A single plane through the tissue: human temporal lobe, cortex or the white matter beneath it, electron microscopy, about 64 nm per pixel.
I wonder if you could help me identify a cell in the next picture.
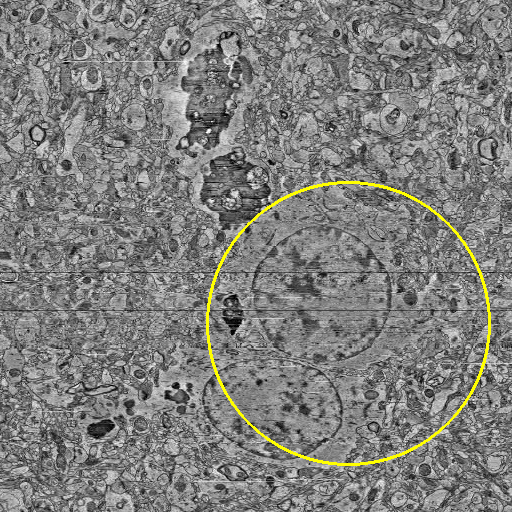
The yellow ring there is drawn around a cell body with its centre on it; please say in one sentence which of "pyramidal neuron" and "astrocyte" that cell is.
The yellow ring is centred on an astrocyte.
